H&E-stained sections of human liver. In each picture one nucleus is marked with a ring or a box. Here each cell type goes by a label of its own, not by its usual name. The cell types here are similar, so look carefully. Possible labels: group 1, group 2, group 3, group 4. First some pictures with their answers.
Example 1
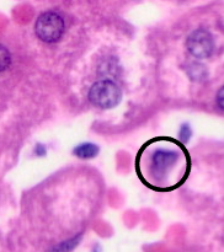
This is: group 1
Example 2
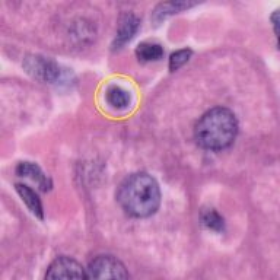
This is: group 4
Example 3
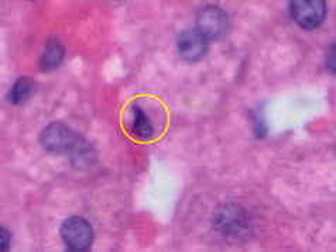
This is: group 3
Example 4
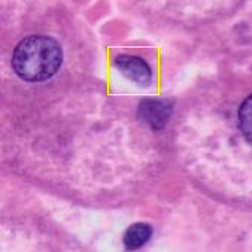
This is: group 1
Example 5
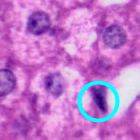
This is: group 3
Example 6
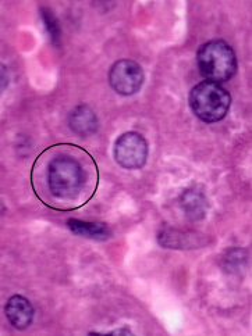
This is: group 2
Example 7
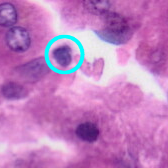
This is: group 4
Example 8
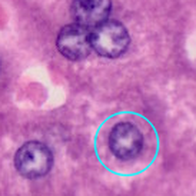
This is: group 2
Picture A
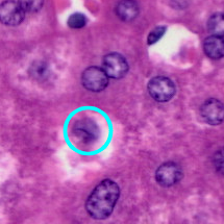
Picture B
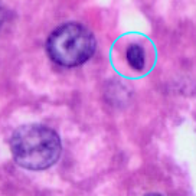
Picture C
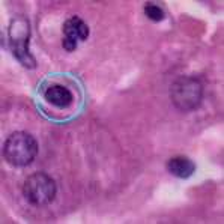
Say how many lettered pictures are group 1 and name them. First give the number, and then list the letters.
1: A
